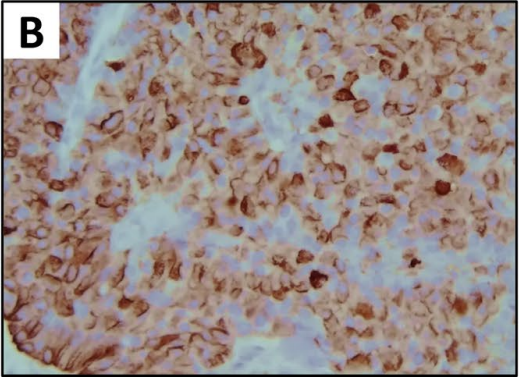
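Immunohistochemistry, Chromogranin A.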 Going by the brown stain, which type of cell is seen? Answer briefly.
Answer: Tumor cells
